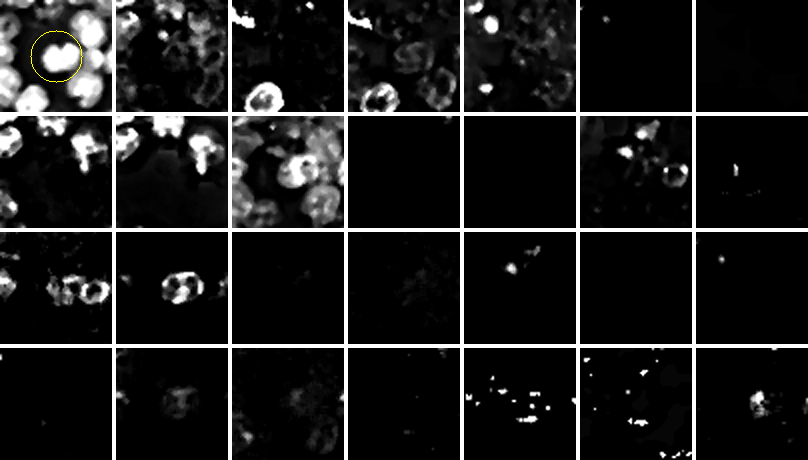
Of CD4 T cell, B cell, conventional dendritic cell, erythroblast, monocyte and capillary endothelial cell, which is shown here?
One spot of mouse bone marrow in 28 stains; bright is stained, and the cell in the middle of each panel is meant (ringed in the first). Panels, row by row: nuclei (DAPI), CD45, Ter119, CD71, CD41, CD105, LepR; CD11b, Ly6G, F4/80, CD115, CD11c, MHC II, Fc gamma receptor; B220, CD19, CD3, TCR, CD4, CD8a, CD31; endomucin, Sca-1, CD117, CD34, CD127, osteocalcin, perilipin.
B cell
